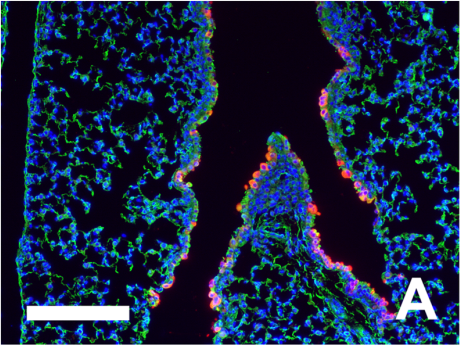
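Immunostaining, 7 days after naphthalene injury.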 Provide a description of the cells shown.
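Lung with airways whose lumens run through alveolar parenchyma. A continuous epithelial lining lines each airway, with many rounded red-stained cells bulging into the lumen, interspersed with green-stained cells. The surrounding thin alveolar septa carry green staining and blue nuclei.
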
